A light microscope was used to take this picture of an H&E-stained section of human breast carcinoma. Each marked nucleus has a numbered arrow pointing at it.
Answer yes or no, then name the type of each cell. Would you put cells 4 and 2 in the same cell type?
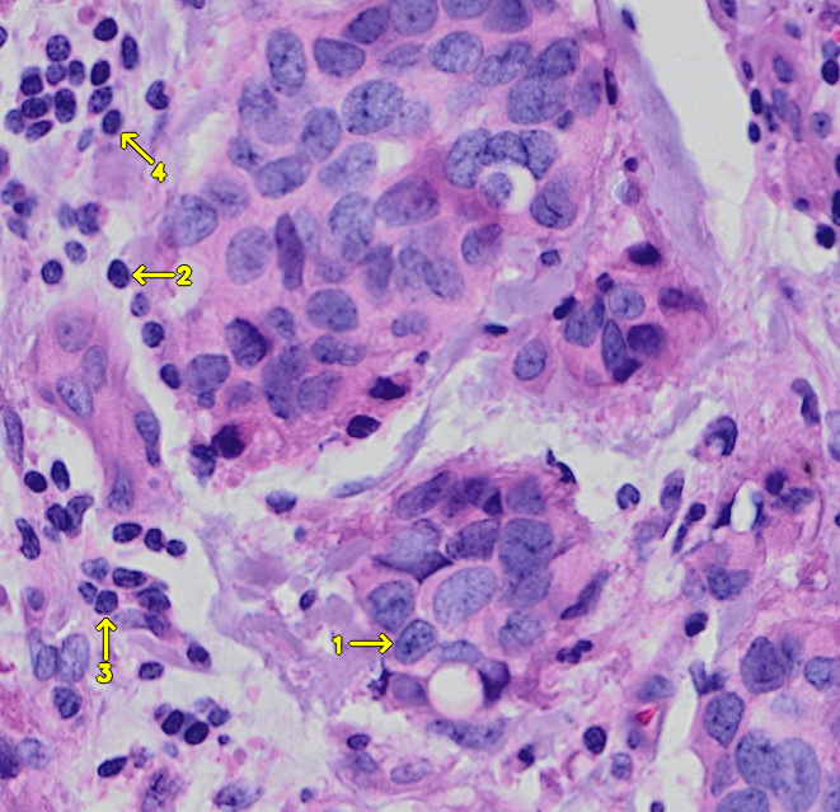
Yes, of the numbered cells, 4 and 2 are both lymphocytes.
